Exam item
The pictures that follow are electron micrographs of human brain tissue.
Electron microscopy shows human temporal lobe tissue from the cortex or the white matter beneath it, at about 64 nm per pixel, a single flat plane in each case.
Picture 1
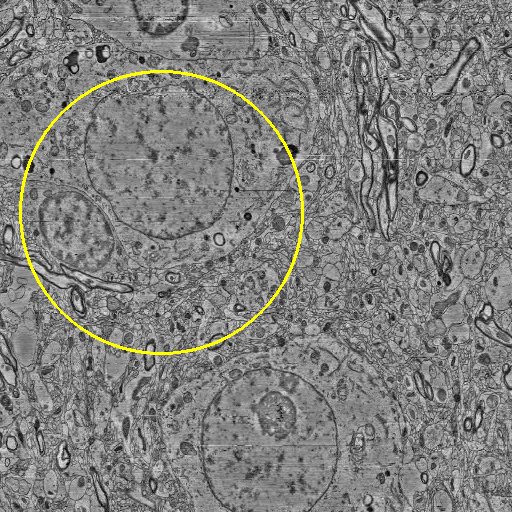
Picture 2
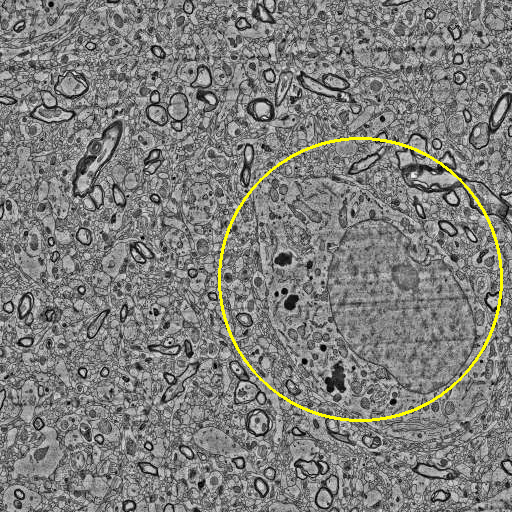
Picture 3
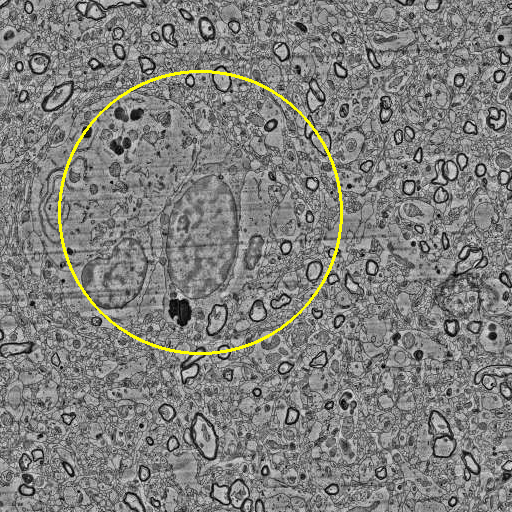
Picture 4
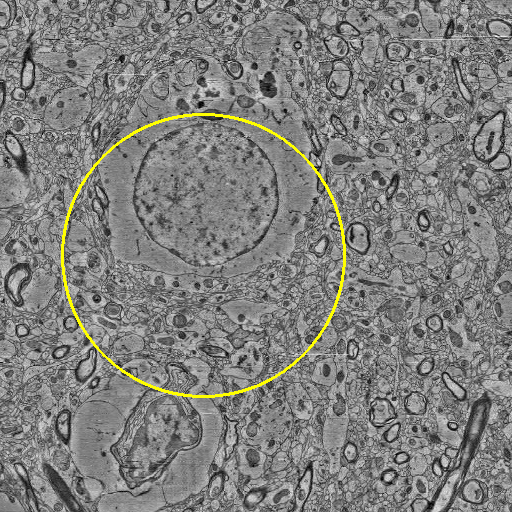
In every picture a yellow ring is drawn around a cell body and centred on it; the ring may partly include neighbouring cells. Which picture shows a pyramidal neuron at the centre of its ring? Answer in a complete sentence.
The cell at the centre of the ring in Picture 1 is the one asked for.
